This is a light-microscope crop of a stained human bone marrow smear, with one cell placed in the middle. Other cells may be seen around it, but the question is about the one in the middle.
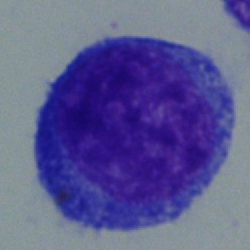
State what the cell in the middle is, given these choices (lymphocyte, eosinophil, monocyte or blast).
blast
